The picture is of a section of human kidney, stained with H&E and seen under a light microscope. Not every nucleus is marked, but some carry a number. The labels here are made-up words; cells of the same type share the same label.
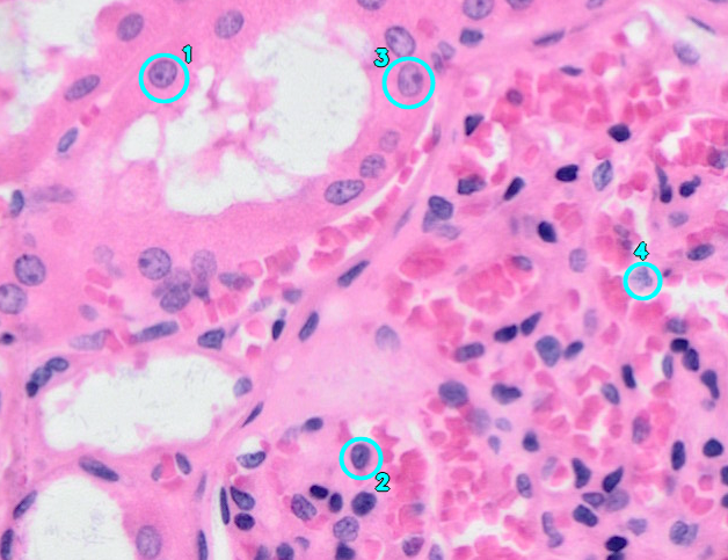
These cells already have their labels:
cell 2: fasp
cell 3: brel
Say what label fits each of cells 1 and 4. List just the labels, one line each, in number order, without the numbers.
brel
fasp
